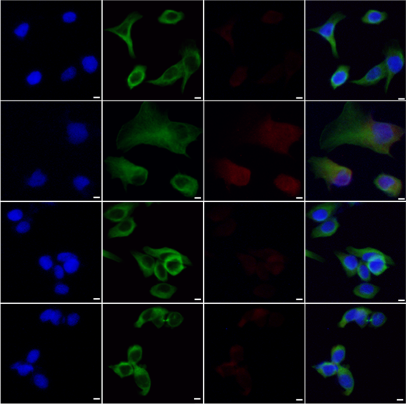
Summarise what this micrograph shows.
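The cells lie singly or in small groups on the dish. Each has one rounded to oval blue nucleus, and around it a green network that fills the cytoplasm and reaches out into flattened, angular or spread processes. The red signal is faint and diffuse in most rows. In one row it is brighter and fills much of the cell body around the nucleus, so the merged image there looks purplish over the cell.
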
